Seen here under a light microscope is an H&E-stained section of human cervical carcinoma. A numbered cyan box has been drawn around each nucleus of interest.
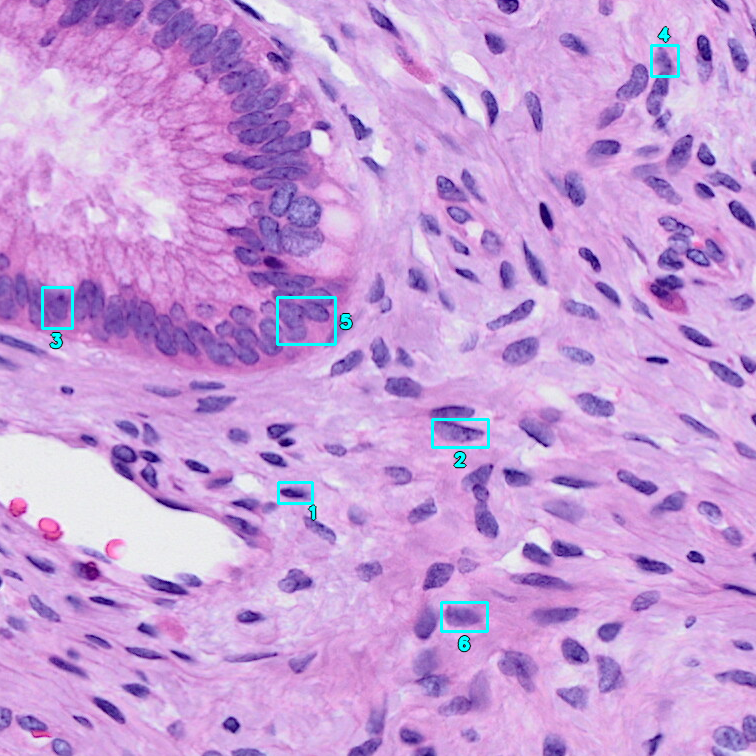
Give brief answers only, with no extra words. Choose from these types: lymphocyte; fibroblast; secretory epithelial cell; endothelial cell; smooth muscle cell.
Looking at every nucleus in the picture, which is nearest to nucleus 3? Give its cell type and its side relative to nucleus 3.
a secretory epithelial cell; to the left of nucleus 3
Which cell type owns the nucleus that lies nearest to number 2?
fibroblast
